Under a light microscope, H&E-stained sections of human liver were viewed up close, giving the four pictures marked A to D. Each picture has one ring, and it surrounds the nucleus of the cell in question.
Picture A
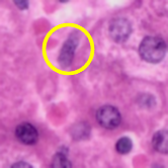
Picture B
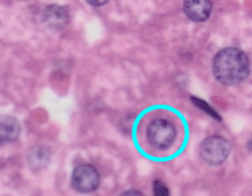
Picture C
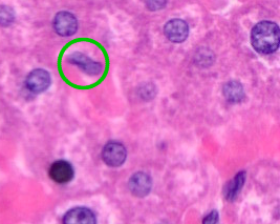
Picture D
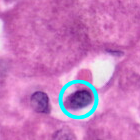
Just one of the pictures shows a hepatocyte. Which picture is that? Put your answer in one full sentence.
It is picture B that shows the hepatocyte.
